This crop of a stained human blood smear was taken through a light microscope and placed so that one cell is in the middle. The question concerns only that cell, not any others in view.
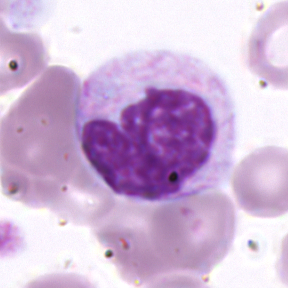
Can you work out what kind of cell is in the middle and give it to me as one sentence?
The identification for the central cell is a band neutrophil.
